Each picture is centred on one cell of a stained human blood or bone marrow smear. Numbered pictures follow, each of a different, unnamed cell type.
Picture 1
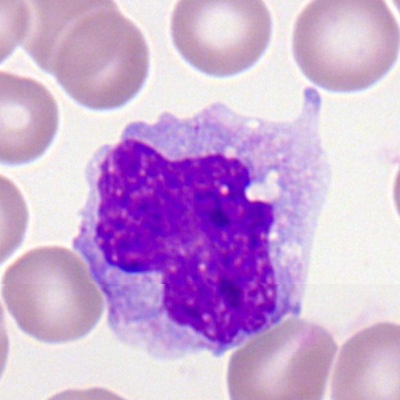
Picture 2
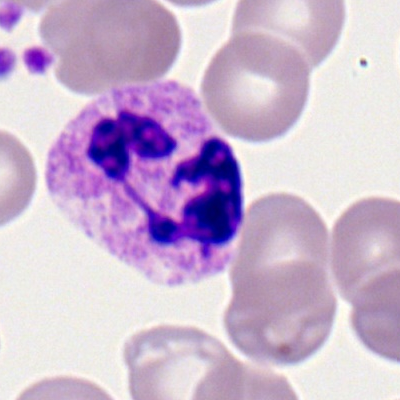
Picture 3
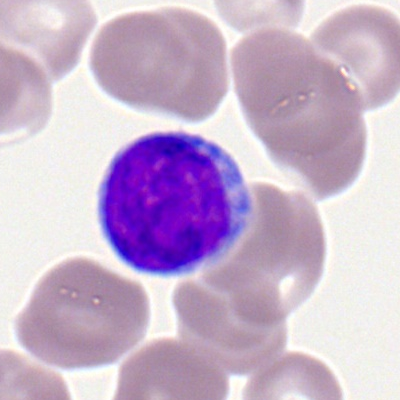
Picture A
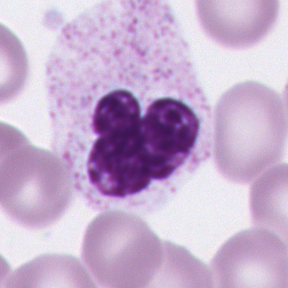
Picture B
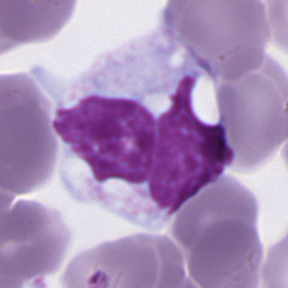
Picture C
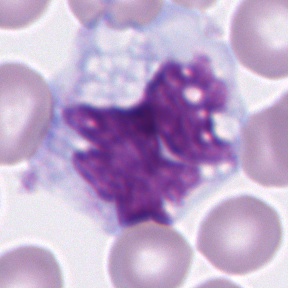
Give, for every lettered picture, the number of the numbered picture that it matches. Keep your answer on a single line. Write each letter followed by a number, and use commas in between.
A 2, B 1, C 1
